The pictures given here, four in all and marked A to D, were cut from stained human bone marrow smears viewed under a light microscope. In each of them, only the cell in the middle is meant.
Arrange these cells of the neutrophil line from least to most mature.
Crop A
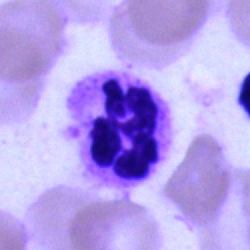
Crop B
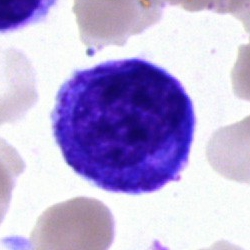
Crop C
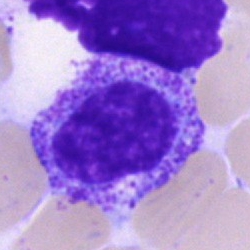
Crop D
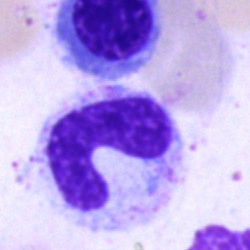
B, C, D, A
